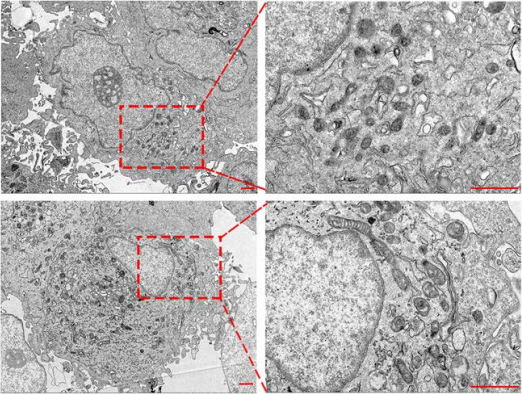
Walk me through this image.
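In the enlarged areas, numerous small oval to elongated mitochondria cluster in the cytoplasm near the nucleus. Many of the mitochondria have a dark matrix and visible cristae. The cell surfaces bear irregular membrane projections, and the cytoplasm holds scattered vesicles.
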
